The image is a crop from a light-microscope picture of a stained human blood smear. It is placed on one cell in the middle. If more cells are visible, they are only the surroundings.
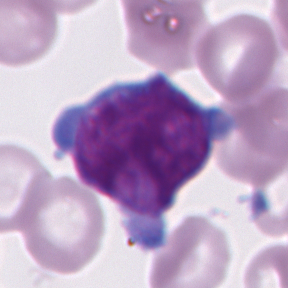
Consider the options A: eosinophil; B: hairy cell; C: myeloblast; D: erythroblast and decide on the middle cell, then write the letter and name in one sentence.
What sits in the middle of the crop is a myeloblast, and option C is correct.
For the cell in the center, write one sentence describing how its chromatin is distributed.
The chromatin pattern is fine and free of coarse clumps.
